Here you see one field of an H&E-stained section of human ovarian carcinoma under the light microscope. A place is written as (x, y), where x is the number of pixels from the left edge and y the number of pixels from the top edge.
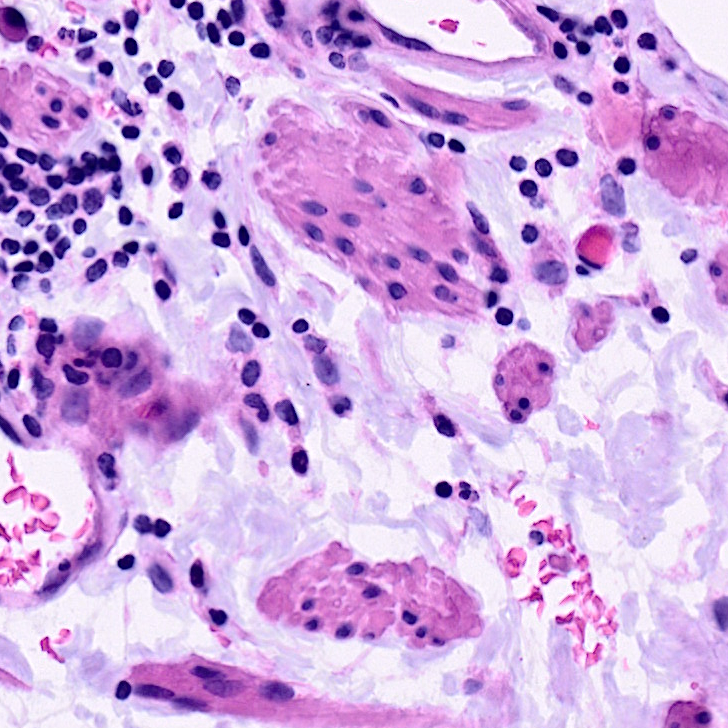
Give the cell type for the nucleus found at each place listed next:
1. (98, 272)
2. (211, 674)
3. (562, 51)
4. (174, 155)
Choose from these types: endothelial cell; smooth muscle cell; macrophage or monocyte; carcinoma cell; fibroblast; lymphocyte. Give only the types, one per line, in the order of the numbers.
lymphocyte
smooth muscle cell
lymphocyte
lymphocyte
